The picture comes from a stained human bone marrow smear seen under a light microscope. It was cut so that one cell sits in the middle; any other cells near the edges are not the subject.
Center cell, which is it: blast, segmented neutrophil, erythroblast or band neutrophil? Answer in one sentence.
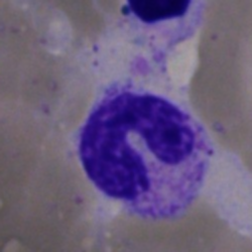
The cell in the middle of this crop is a band neutrophil.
